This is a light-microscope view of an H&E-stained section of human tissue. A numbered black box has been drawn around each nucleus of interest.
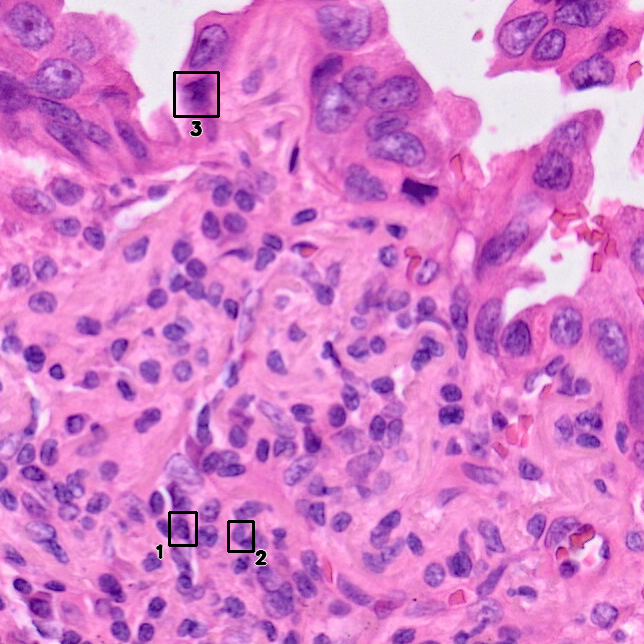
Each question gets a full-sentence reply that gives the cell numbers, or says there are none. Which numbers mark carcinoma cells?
Cell 3 is a carcinoma cell, and it is the only one.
